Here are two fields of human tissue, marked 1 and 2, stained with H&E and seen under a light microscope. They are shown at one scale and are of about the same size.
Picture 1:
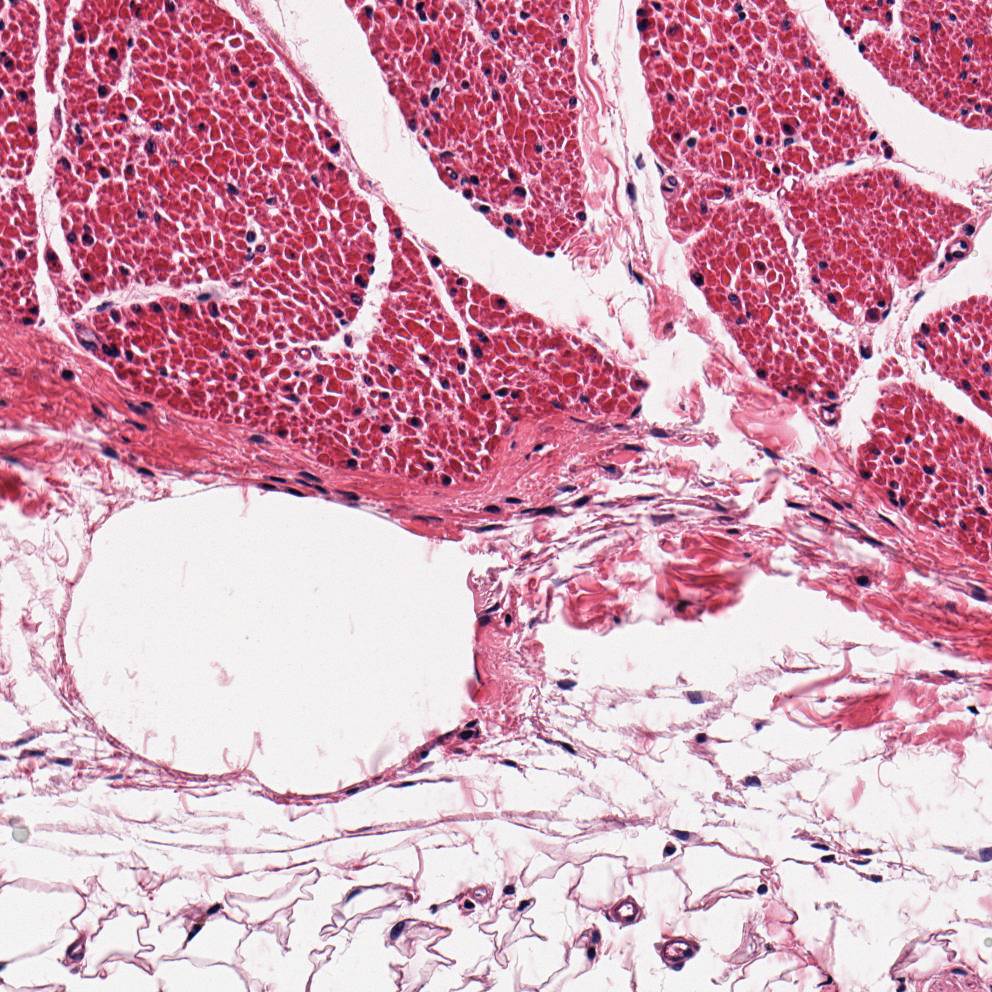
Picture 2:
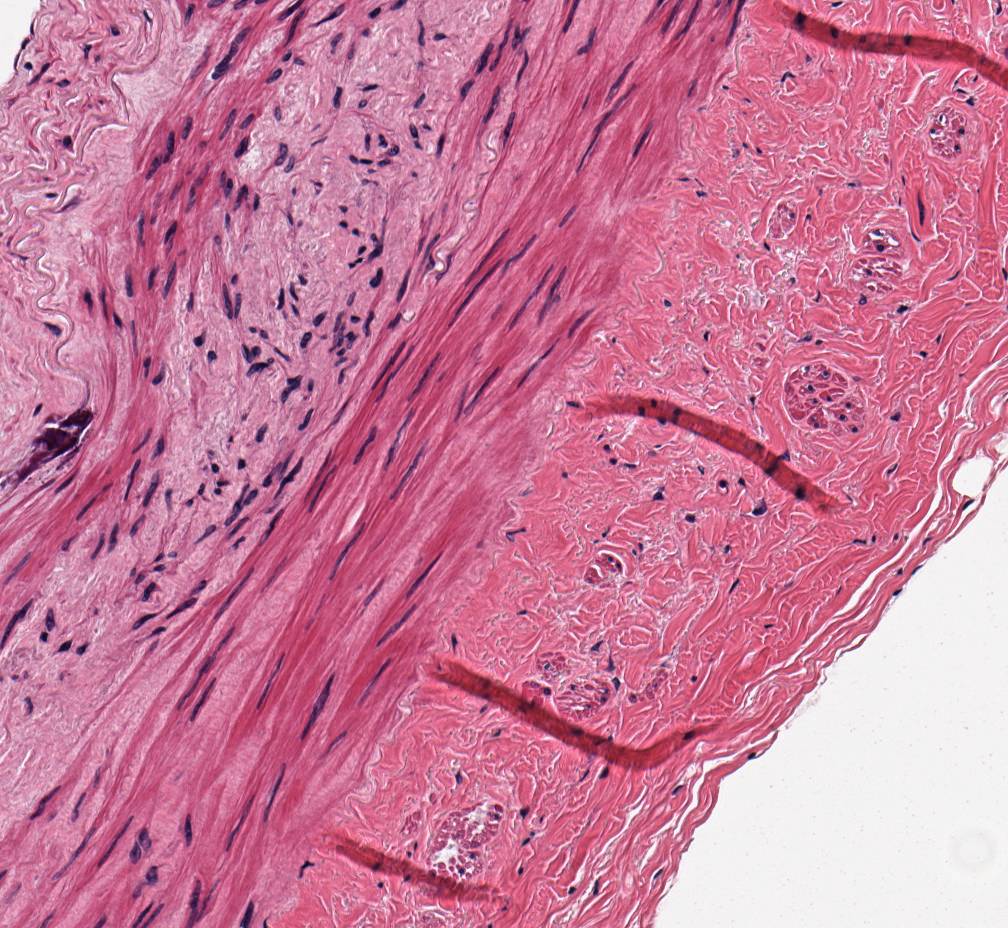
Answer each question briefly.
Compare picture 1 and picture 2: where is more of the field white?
1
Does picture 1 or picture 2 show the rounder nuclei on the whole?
1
